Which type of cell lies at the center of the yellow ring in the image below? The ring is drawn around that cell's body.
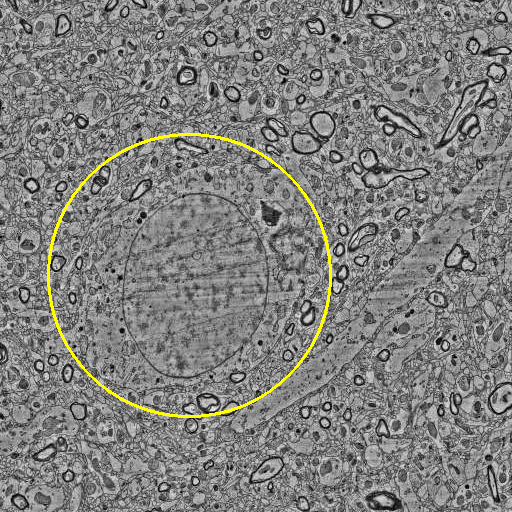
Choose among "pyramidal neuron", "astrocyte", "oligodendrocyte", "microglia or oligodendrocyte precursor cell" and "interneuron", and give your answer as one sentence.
The cell body at the center belongs to a pyramidal neuron.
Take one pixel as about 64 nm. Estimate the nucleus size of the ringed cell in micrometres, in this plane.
Approximately 12 by 9 micrometers in this plane.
